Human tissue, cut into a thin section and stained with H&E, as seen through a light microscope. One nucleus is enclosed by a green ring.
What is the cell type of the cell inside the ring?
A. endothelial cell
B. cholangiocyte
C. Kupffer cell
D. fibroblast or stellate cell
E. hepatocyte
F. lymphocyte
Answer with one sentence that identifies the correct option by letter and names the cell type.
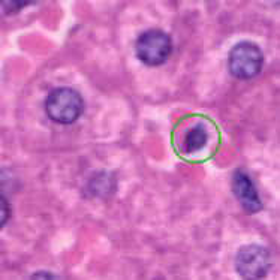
Answer with option F; the cell inside the ring is a lymphocyte.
